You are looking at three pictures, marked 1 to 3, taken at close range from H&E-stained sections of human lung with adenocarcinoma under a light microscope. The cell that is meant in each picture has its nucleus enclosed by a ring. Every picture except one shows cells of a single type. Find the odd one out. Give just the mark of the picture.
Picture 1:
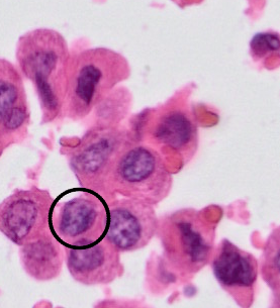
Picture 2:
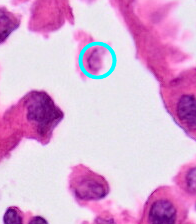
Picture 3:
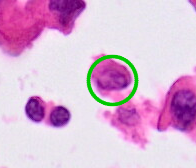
1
